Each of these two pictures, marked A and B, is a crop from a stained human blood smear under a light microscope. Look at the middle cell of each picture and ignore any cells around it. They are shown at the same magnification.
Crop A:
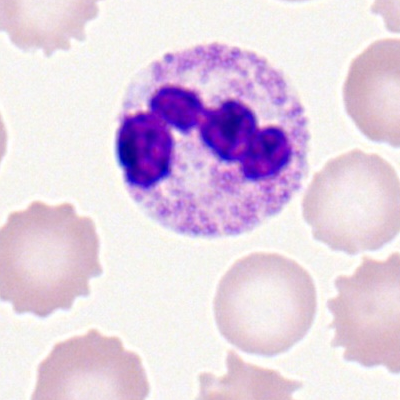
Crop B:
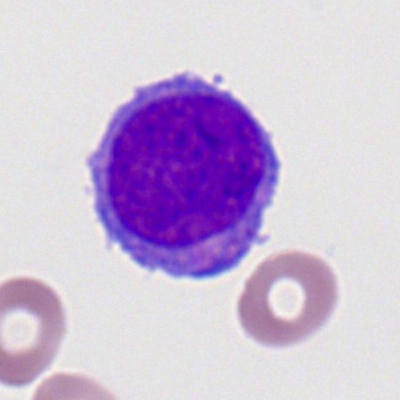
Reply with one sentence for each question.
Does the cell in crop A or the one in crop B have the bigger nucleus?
Larger is the nucleus in crop B, at roughly 2 times the area of the other.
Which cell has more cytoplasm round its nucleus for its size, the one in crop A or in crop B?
In crop A the nucleus takes up the smaller part of its cell.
